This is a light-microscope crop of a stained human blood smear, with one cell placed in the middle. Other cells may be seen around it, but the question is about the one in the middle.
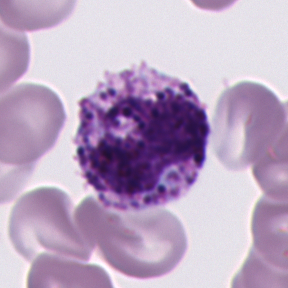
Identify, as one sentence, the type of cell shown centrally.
Classified as a basophil is the cell in the middle of this crop.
